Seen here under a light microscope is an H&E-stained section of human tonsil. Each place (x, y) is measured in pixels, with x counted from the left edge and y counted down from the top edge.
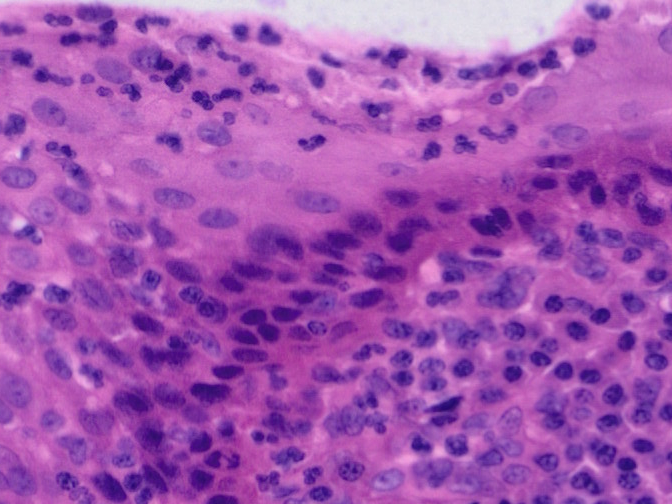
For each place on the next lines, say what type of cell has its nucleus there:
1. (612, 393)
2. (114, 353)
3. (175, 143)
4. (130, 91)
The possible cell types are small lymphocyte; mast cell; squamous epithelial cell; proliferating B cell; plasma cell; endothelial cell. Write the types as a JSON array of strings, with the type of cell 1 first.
["plasma cell", "squamous epithelial cell", "squamous epithelial cell", "squamous epithelial cell"]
